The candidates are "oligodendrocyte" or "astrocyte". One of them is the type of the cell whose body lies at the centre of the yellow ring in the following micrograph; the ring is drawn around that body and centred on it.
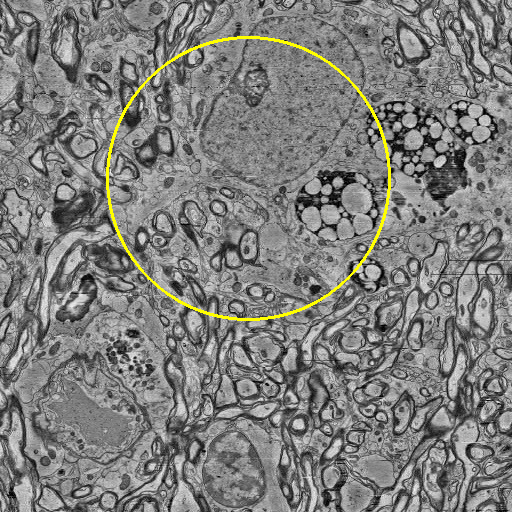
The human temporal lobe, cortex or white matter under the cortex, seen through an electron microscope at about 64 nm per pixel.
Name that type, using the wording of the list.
astrocyte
